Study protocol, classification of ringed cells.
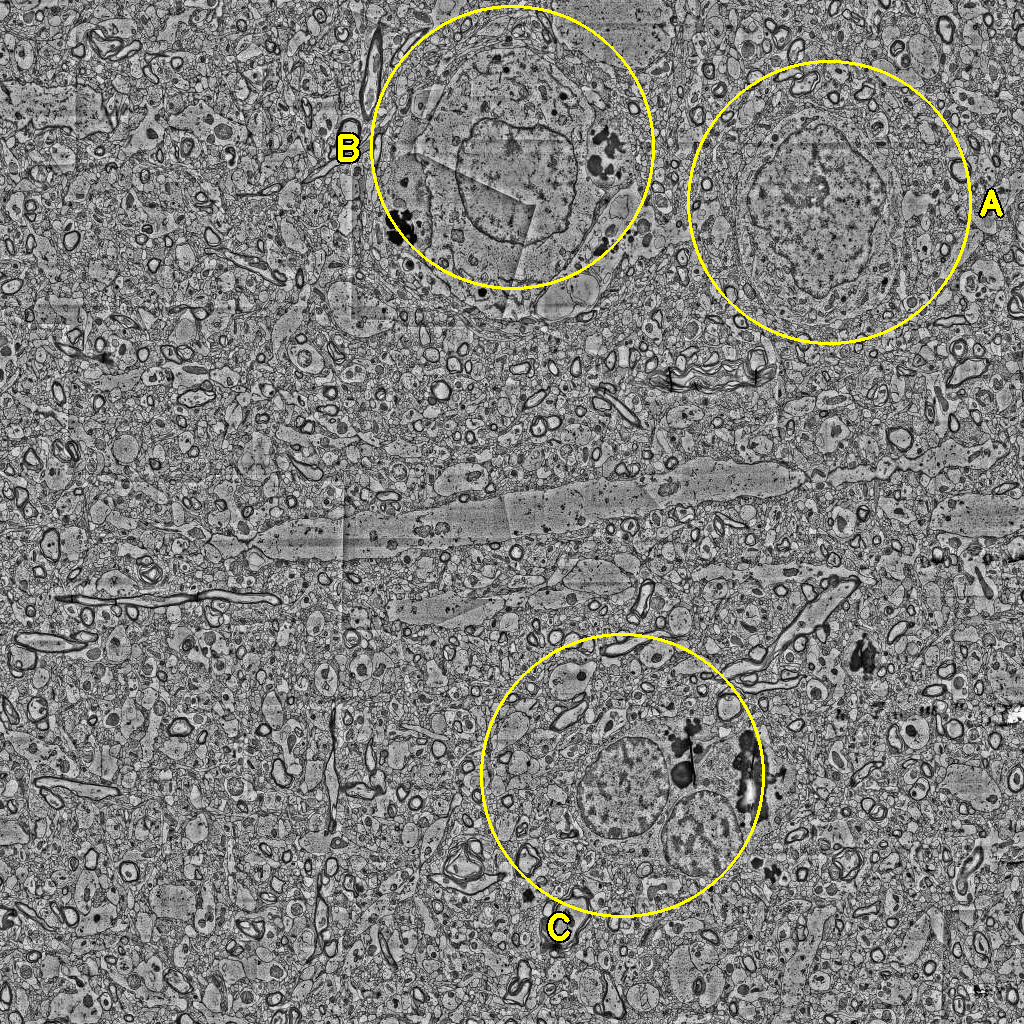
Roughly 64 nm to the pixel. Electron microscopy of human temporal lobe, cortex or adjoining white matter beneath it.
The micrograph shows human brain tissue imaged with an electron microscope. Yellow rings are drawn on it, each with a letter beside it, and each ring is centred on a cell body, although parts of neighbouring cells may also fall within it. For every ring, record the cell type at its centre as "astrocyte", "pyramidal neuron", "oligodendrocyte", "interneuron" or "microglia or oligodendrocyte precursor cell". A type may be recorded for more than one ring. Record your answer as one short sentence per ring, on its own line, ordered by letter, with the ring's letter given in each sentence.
Ring A has been centred on an interneuron.
Ring B has been centred on a pyramidal neuron.
Ring C has been centred on an oligodendrocyte.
